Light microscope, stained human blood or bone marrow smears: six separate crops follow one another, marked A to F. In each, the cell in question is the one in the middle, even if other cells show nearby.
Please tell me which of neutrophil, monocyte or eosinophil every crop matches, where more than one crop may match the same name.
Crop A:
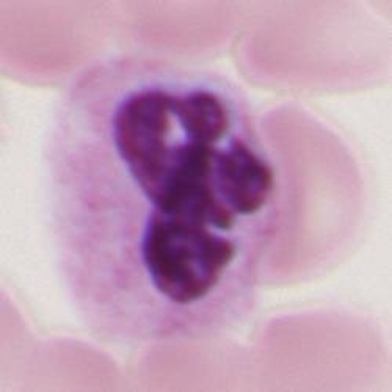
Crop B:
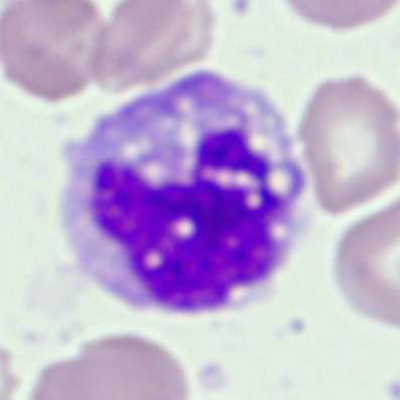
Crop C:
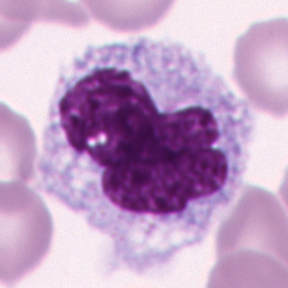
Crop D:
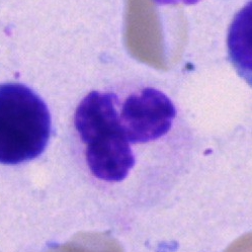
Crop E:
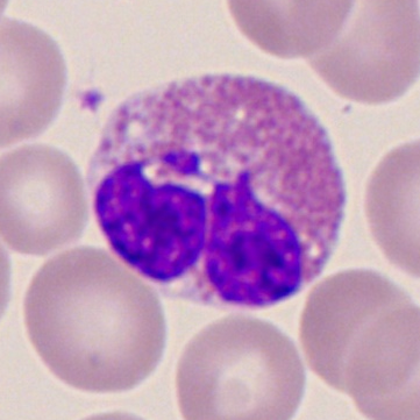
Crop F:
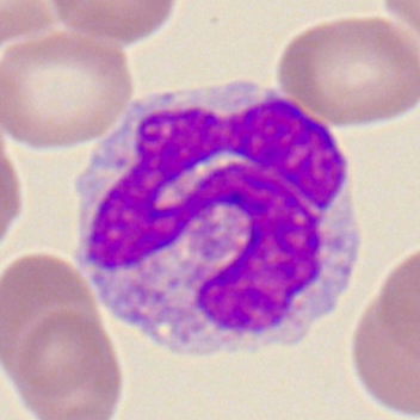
A: neutrophil
B: monocyte
C: monocyte
D: neutrophil
E: eosinophil
F: monocyte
